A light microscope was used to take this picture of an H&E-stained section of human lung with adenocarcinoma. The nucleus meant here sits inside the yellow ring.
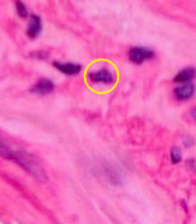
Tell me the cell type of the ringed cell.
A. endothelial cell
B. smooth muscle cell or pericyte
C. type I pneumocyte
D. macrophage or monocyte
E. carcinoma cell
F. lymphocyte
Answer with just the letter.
B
